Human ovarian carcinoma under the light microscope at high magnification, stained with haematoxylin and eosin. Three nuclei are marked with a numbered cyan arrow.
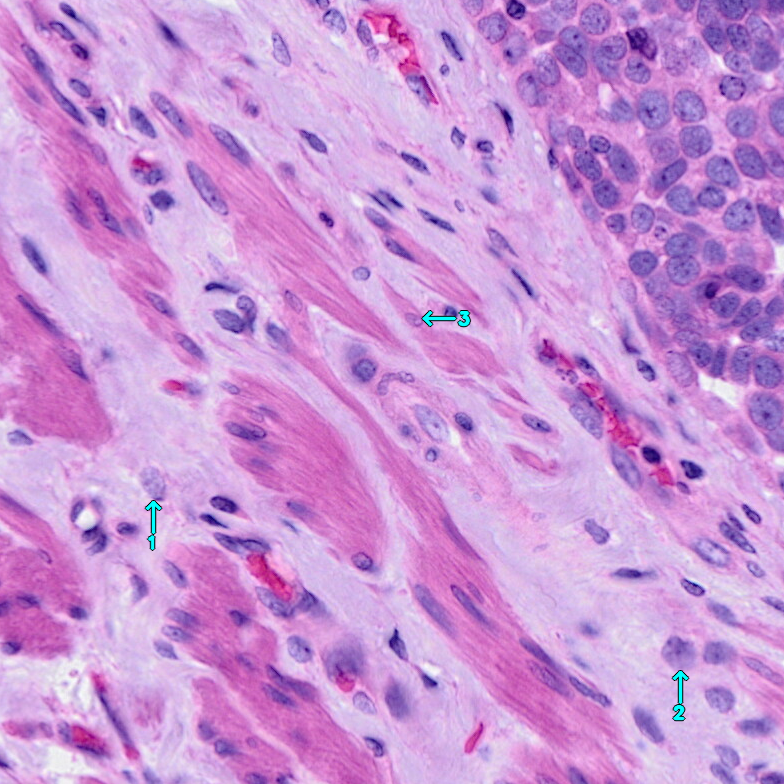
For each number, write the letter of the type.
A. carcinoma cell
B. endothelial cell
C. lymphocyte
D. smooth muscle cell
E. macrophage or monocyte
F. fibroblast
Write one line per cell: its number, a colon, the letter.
1: F
2: F
3: D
